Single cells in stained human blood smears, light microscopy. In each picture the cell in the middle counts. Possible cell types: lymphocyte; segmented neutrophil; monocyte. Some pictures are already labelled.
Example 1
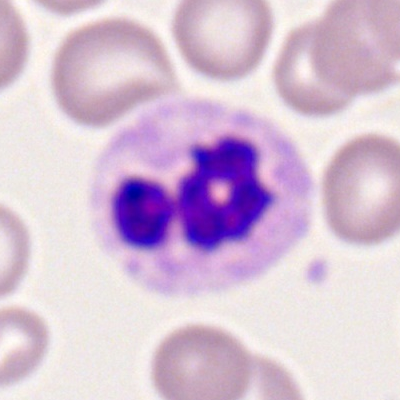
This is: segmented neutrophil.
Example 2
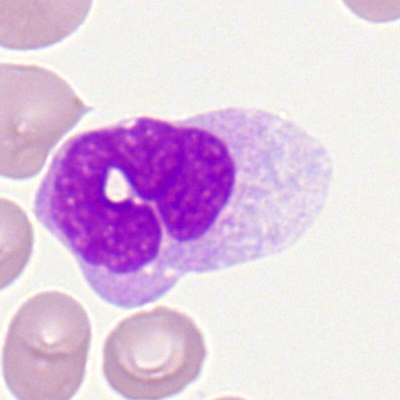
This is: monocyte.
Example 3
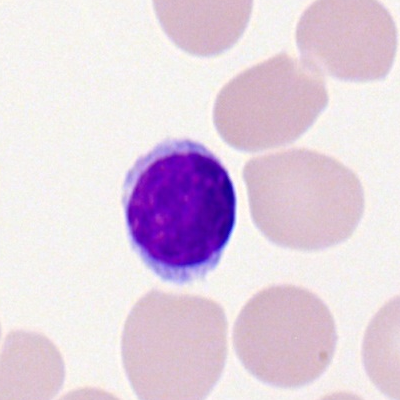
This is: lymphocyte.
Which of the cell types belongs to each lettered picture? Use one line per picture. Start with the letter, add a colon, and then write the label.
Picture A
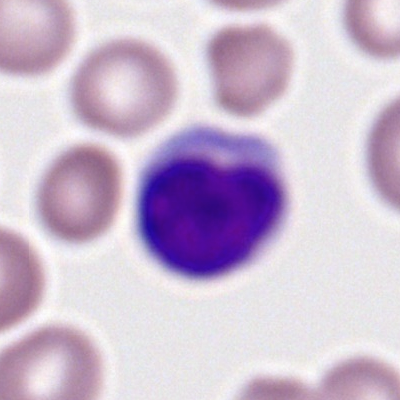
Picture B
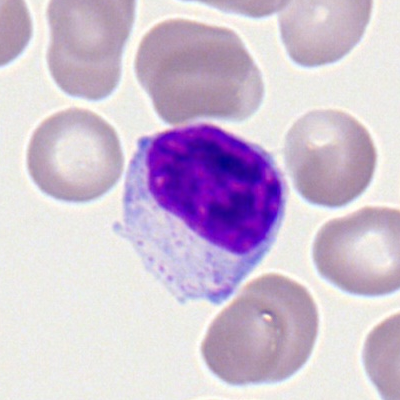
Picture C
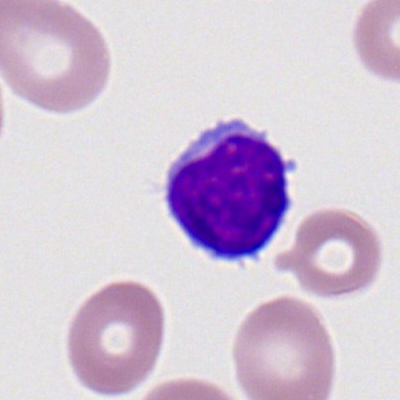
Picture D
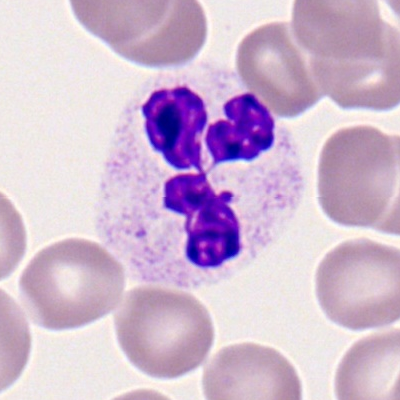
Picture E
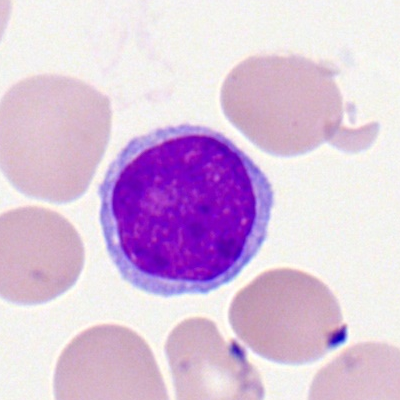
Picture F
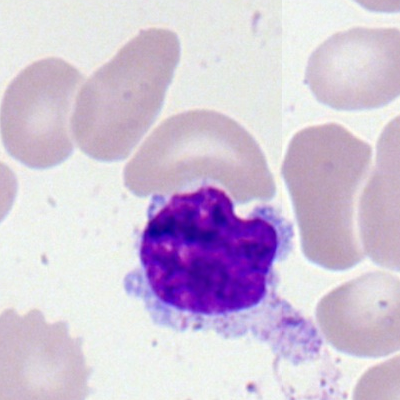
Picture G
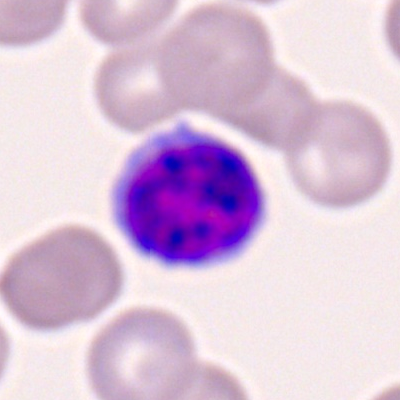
A: lymphocyte.
B: lymphocyte.
C: lymphocyte.
D: segmented neutrophil.
E: lymphocyte.
F: lymphocyte.
G: lymphocyte.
